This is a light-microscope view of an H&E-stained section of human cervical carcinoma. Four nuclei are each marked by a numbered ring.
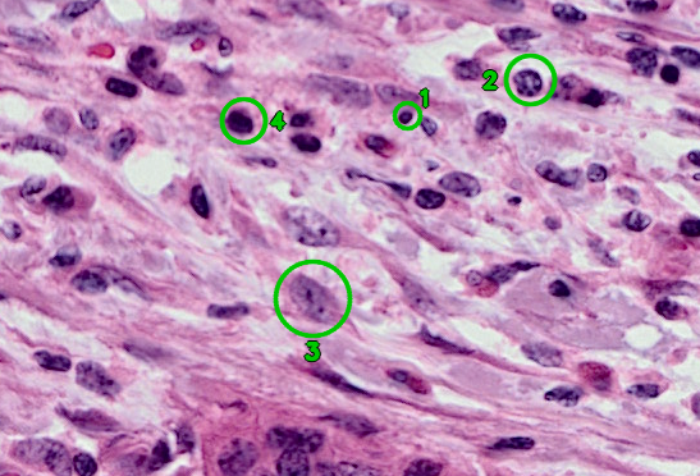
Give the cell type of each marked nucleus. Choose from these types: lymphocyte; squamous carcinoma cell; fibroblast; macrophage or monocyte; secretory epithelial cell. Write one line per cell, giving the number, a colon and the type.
1: lymphocyte
2: lymphocyte
3: fibroblast
4: lymphocyte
